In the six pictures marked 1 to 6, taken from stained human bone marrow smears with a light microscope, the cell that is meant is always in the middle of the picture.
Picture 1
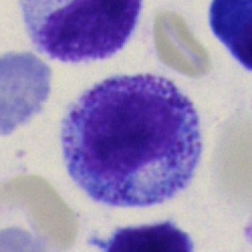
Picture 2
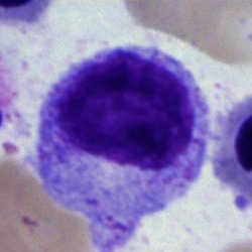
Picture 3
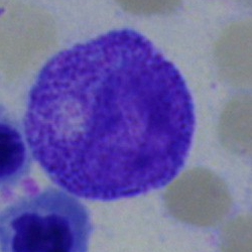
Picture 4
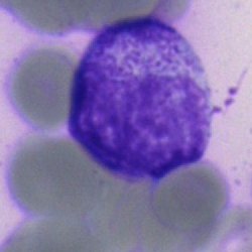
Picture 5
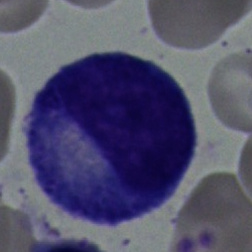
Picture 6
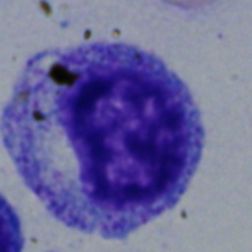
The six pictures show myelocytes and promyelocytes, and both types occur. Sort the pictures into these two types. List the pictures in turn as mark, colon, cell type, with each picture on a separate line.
1: promyelocyte
2: myelocyte
3: promyelocyte
4: myelocyte
5: promyelocyte
6: myelocyte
